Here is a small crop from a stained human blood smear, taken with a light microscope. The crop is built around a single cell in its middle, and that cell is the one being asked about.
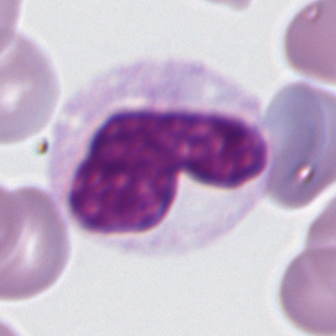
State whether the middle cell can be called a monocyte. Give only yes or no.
no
